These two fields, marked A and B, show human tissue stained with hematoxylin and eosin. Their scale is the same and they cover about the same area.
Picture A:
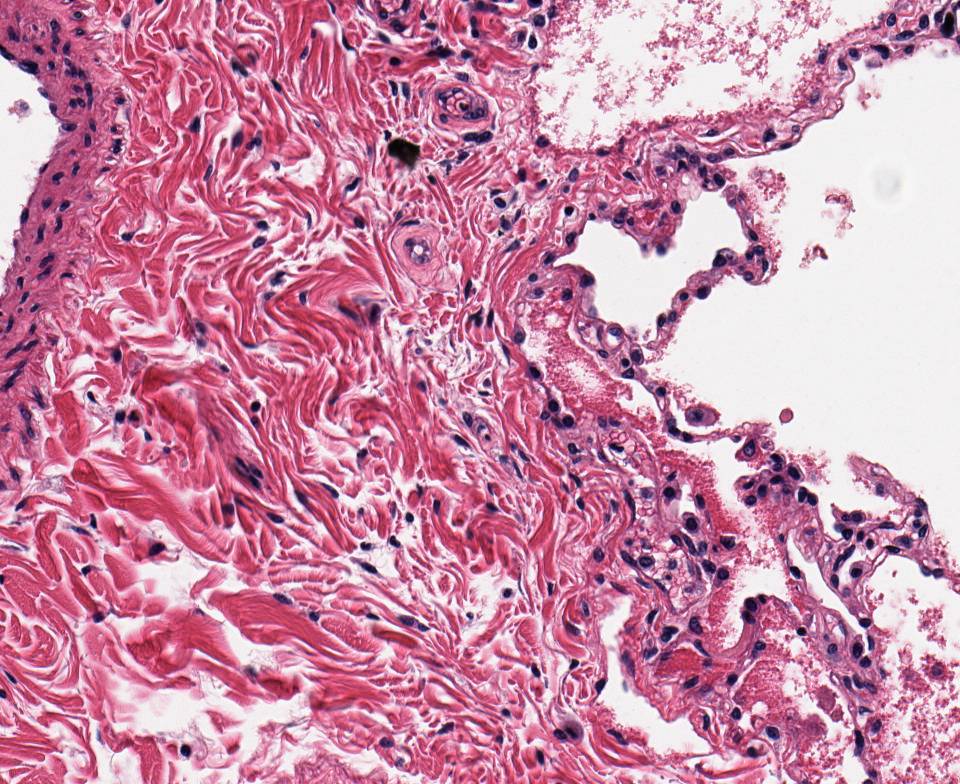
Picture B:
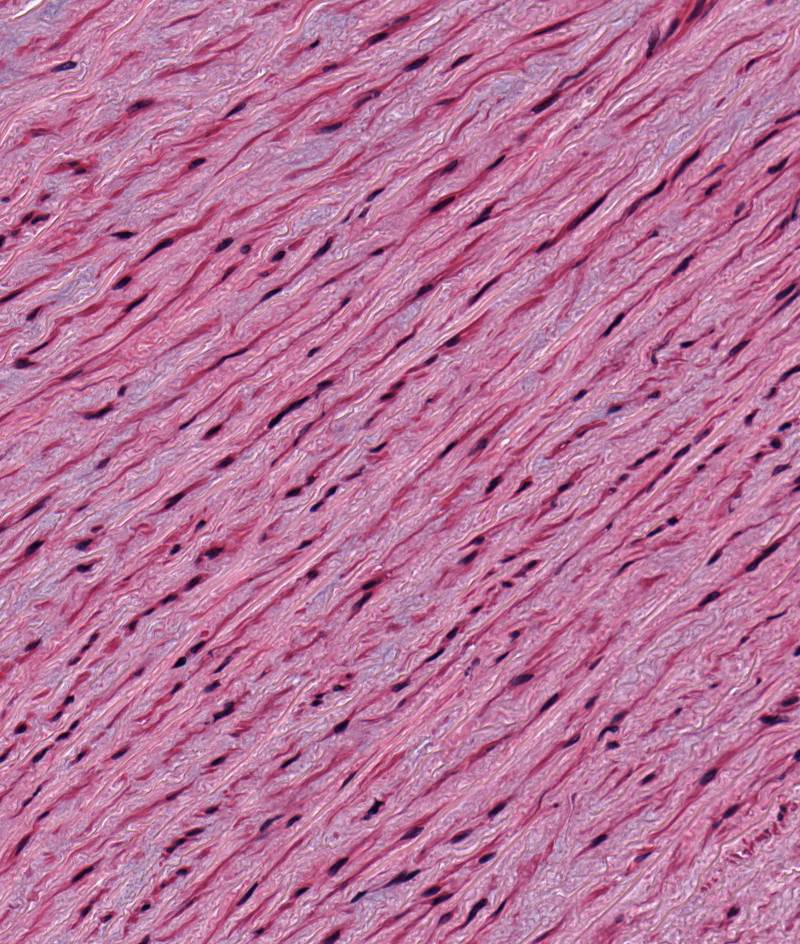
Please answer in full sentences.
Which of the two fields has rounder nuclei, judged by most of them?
Rounder nuclei lie in picture A.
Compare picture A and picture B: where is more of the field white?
Unstained space takes up more of picture A than of picture B.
